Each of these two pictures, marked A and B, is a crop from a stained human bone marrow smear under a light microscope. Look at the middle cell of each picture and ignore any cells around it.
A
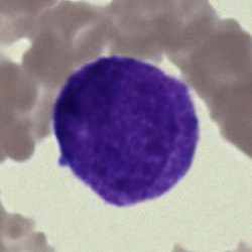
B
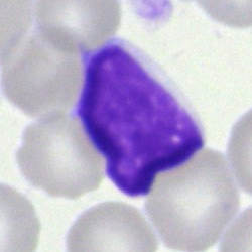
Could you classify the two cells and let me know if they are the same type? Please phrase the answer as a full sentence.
Yes, the reply for both crops is blasts.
